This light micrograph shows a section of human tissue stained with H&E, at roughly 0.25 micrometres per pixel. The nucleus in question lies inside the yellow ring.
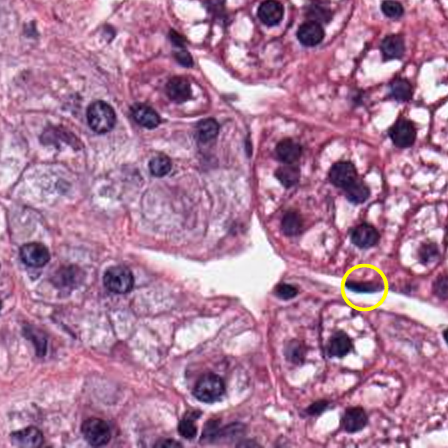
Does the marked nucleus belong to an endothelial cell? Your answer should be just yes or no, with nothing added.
yes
